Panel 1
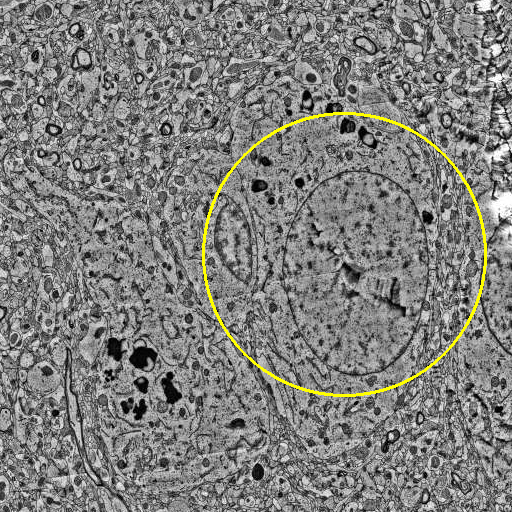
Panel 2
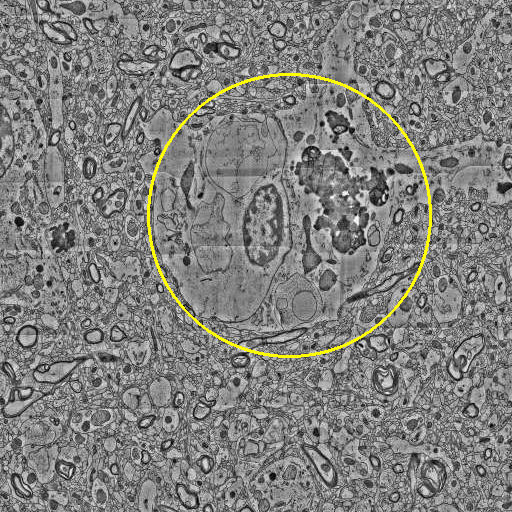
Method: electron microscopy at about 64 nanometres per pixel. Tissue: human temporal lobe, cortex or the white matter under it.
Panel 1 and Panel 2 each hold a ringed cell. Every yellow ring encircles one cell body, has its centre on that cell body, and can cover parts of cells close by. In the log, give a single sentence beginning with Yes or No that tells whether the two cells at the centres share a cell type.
No, in Panel 1 and Panel 2 the centred cells are of two cell types.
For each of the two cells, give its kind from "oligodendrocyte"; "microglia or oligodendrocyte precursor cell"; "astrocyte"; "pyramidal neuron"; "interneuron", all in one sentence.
The first picture has a pyramidal neuron in its ring, the second has an astrocyte.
